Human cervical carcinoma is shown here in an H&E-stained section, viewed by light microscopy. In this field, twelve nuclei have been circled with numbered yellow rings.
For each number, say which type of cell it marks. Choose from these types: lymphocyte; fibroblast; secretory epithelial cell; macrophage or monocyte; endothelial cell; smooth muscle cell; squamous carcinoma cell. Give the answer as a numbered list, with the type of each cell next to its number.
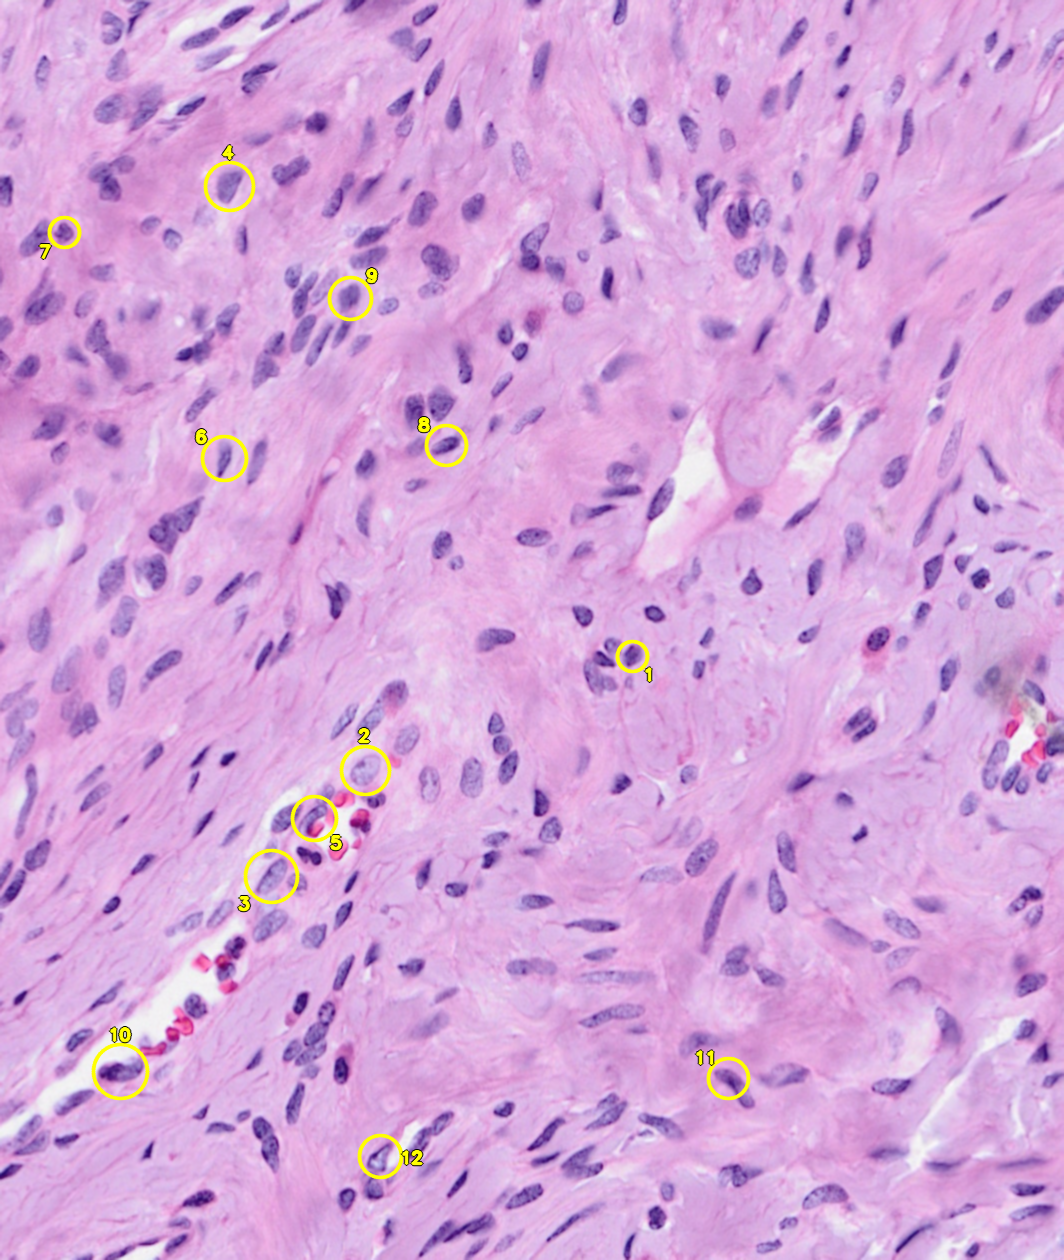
1. fibroblast
2. endothelial cell
3. endothelial cell
4. fibroblast
5. endothelial cell
6. fibroblast
7. fibroblast
8. fibroblast
9. fibroblast
10. endothelial cell
11. fibroblast
12. endothelial cell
